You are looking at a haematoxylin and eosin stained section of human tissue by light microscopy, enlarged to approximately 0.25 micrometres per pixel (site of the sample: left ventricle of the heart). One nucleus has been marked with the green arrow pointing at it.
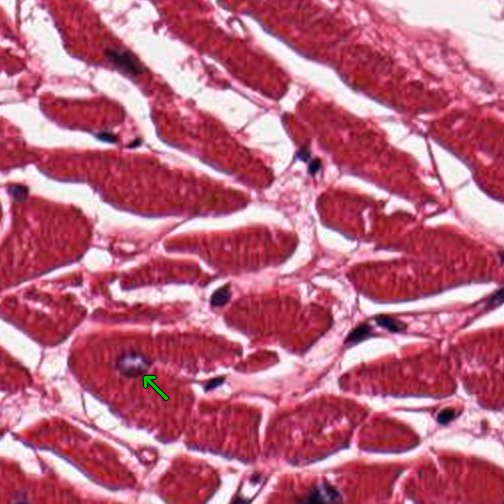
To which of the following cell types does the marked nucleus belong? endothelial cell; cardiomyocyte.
cardiomyocyte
